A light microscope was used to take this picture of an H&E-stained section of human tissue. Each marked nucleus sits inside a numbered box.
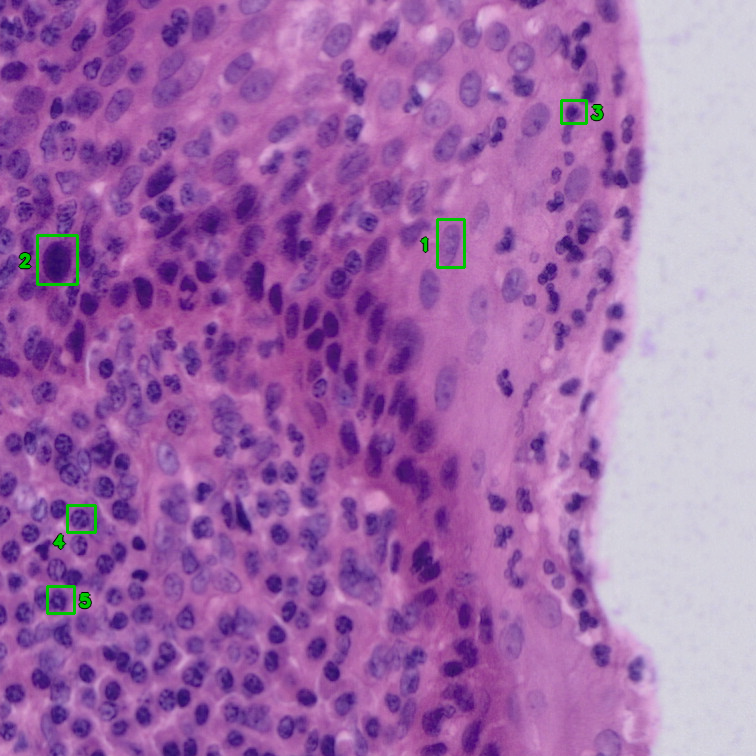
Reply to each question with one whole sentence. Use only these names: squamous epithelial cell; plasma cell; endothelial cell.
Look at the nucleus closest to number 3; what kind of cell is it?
It is a squamous epithelial cell whose nucleus is nearest to number 3.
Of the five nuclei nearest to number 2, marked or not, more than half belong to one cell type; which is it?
The majority of the five nuclei closest to number 2 belong to squamous epithelial cells.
